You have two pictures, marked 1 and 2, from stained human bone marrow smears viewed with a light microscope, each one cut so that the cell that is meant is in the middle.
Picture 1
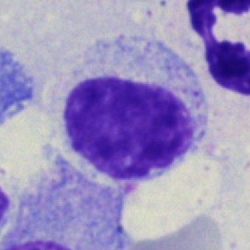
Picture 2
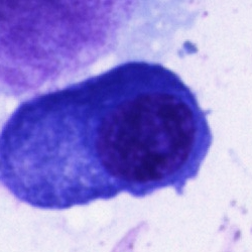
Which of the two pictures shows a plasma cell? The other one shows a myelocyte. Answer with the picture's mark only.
2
